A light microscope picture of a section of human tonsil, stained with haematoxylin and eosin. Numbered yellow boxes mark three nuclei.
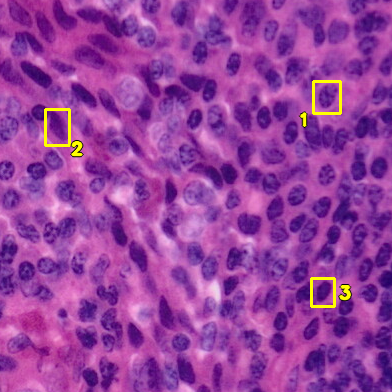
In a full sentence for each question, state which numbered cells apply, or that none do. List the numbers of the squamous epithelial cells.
There is only one numbered cell that is a squamous epithelial cell, and it is cell 2.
